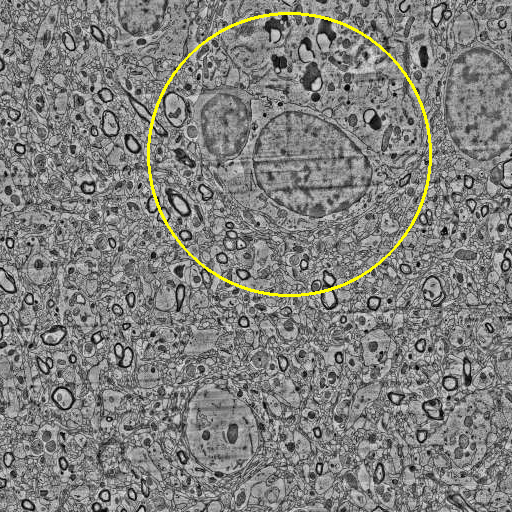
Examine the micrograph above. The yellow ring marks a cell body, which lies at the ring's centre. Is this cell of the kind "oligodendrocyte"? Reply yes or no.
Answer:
no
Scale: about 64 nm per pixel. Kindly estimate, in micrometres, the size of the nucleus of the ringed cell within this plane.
About 8 by 6 micrometres in this plane.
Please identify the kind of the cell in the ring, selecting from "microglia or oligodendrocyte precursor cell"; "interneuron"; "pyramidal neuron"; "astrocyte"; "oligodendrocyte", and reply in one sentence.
The cell enclosed by the ring is a microglial cell or oligodendrocyte precursor cell.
